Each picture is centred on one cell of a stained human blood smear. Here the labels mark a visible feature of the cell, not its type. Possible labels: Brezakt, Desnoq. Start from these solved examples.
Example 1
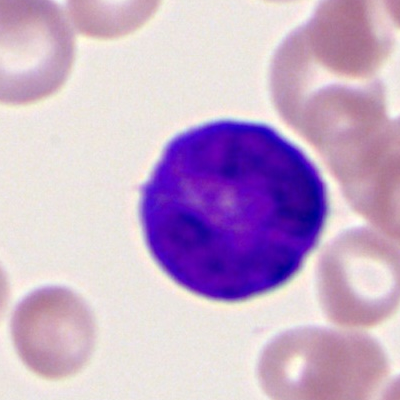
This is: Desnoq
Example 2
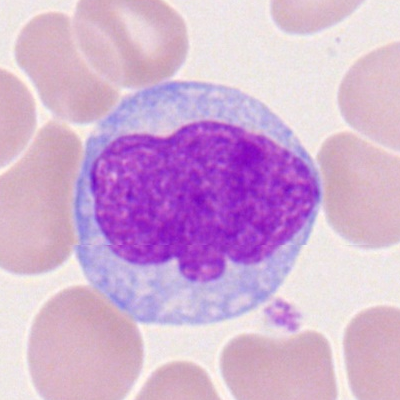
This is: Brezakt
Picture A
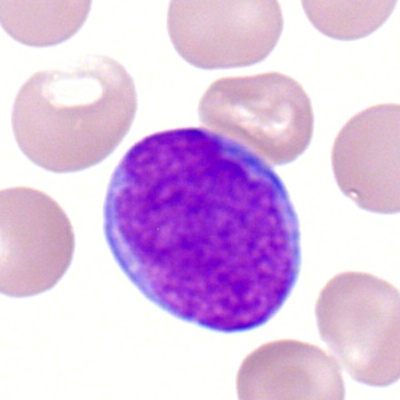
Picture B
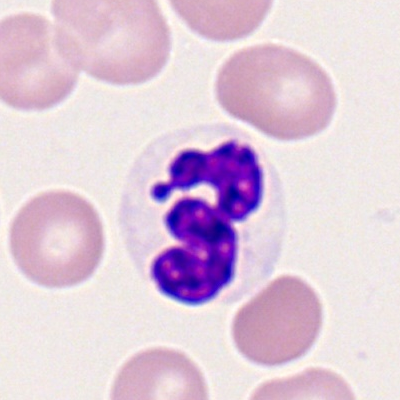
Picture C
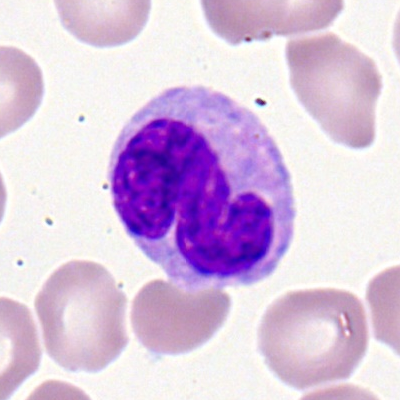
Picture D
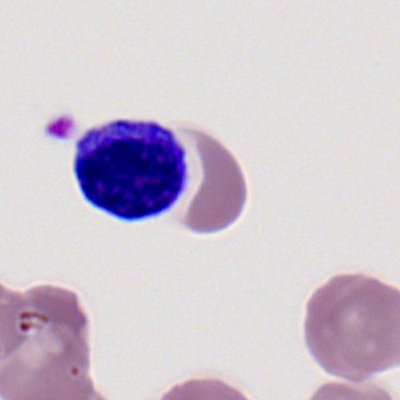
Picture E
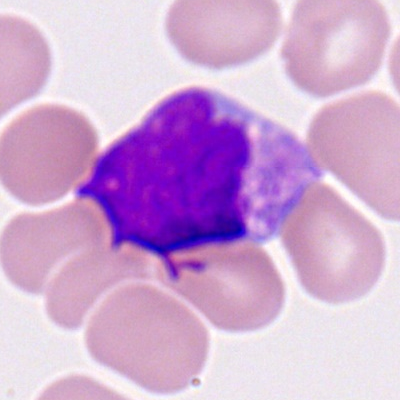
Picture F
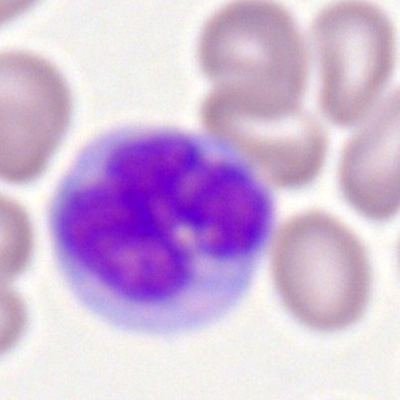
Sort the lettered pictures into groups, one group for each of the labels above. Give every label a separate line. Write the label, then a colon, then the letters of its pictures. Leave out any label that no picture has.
Brezakt: A, B, C, D, F
Desnoq: E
